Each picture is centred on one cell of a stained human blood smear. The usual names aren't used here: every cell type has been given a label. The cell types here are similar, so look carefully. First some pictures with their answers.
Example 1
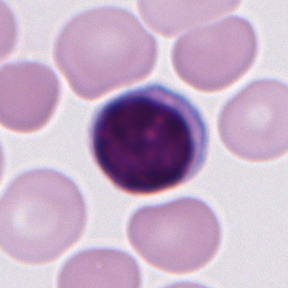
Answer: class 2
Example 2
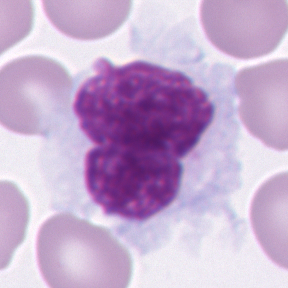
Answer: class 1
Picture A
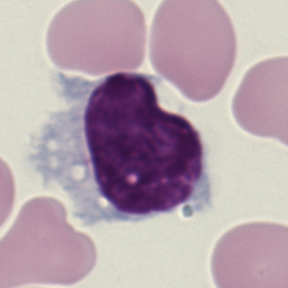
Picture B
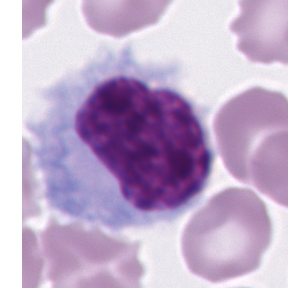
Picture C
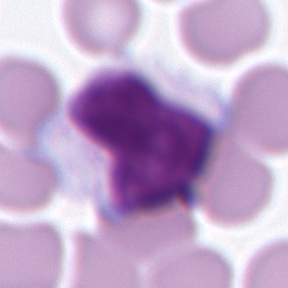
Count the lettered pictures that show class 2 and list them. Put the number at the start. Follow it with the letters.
1, namely C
